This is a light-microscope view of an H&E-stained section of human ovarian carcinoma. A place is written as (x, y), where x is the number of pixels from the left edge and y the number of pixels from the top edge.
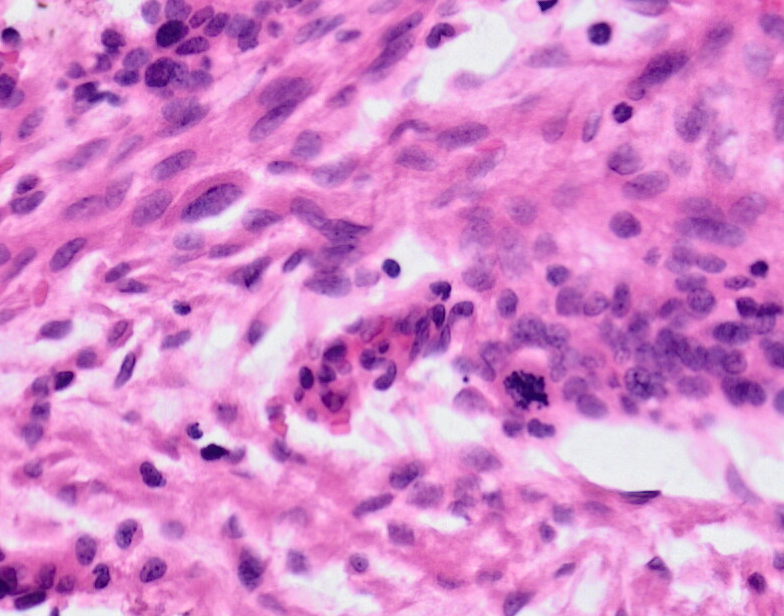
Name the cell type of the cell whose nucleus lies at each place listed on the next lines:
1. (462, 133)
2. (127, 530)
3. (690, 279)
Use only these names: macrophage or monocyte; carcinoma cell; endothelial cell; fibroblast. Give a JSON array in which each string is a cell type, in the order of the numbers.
["fibroblast", "macrophage or monocyte", "carcinoma cell"]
